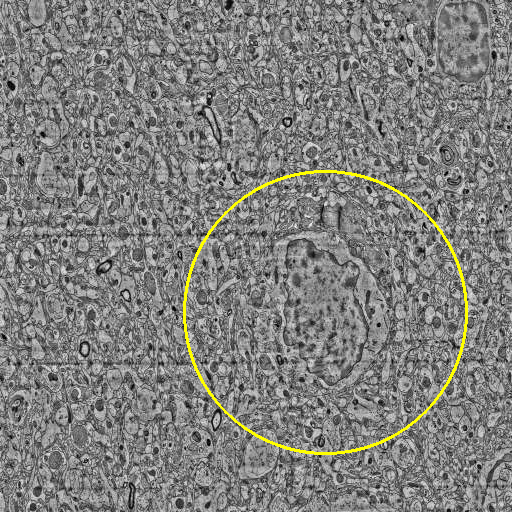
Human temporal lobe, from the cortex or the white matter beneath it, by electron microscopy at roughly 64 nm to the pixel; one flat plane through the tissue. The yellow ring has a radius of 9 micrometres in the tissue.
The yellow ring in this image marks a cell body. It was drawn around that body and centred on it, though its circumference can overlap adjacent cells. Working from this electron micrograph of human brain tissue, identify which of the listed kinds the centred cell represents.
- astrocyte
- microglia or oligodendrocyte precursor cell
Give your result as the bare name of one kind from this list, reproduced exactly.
microglia or oligodendrocyte precursor cell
